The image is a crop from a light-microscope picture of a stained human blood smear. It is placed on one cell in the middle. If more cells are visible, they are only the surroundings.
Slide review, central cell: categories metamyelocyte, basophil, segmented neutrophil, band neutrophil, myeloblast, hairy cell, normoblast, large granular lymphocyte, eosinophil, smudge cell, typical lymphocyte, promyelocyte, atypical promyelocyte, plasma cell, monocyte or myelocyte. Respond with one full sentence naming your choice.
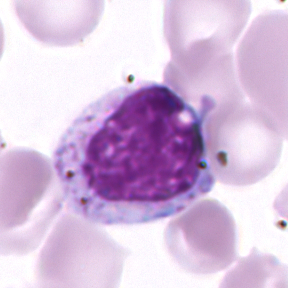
The middle position in this crop is taken by a metamyelocyte.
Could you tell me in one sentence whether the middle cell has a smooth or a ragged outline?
The cell is bounded by a ragged or projection-bearing margin rather than a smooth one.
